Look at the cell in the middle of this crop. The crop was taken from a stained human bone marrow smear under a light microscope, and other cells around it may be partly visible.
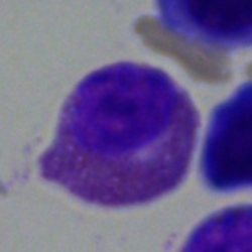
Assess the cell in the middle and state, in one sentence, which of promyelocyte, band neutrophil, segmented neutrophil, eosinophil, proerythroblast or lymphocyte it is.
The center cell of this crop is an eosinophil.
